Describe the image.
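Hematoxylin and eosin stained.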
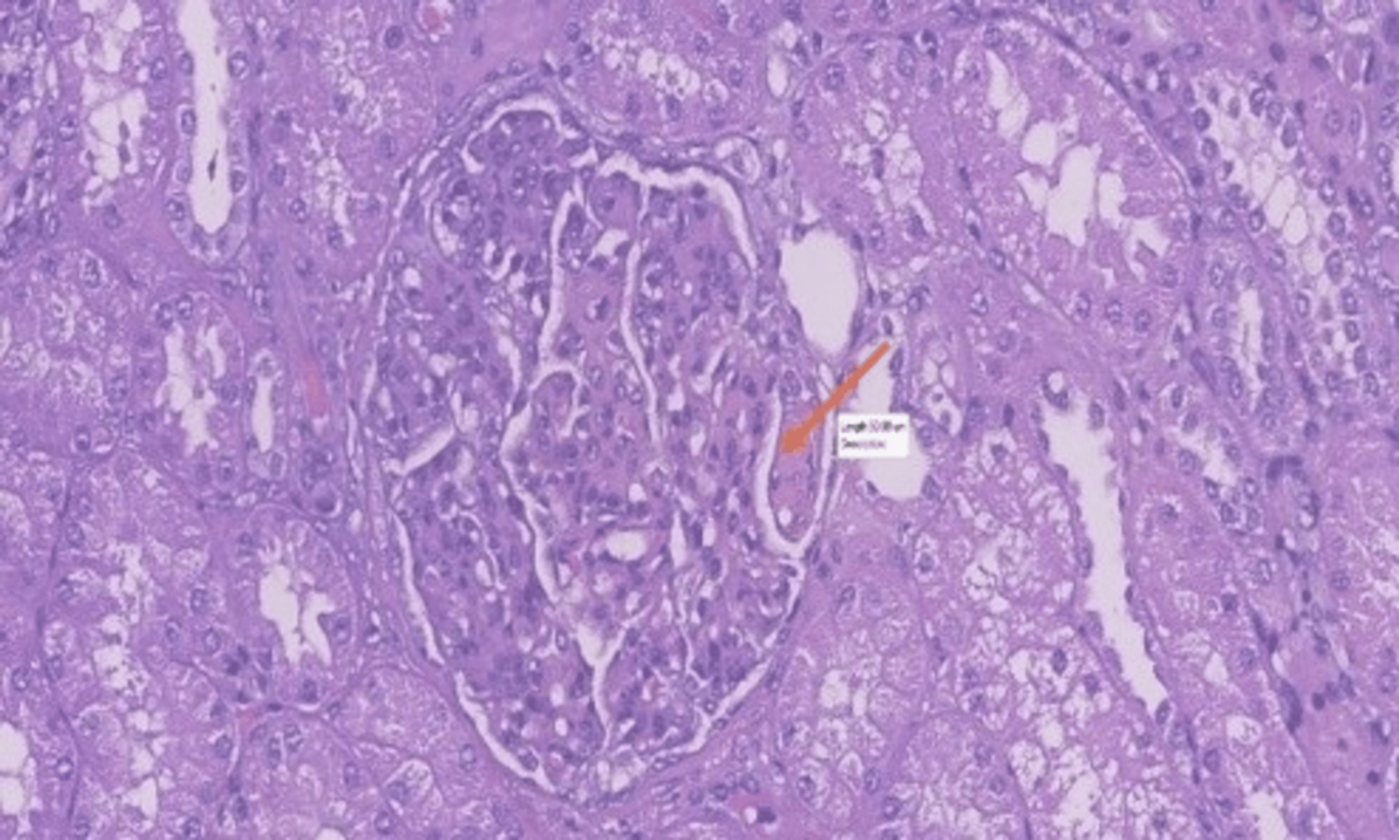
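A glomerulus fills the centre of the field: a large, lobulated tuft of capillary loops set within a thin clear space and enclosed by a capsule. The tuft is crowded with purple nuclei, so that the capillary lumina are mostly closed and hard to make out. Around it lie cross-sections of tubules whose cells have abundant pink, pale and vacuolated cytoplasm and round nuclei, lining irregular open lumina.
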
